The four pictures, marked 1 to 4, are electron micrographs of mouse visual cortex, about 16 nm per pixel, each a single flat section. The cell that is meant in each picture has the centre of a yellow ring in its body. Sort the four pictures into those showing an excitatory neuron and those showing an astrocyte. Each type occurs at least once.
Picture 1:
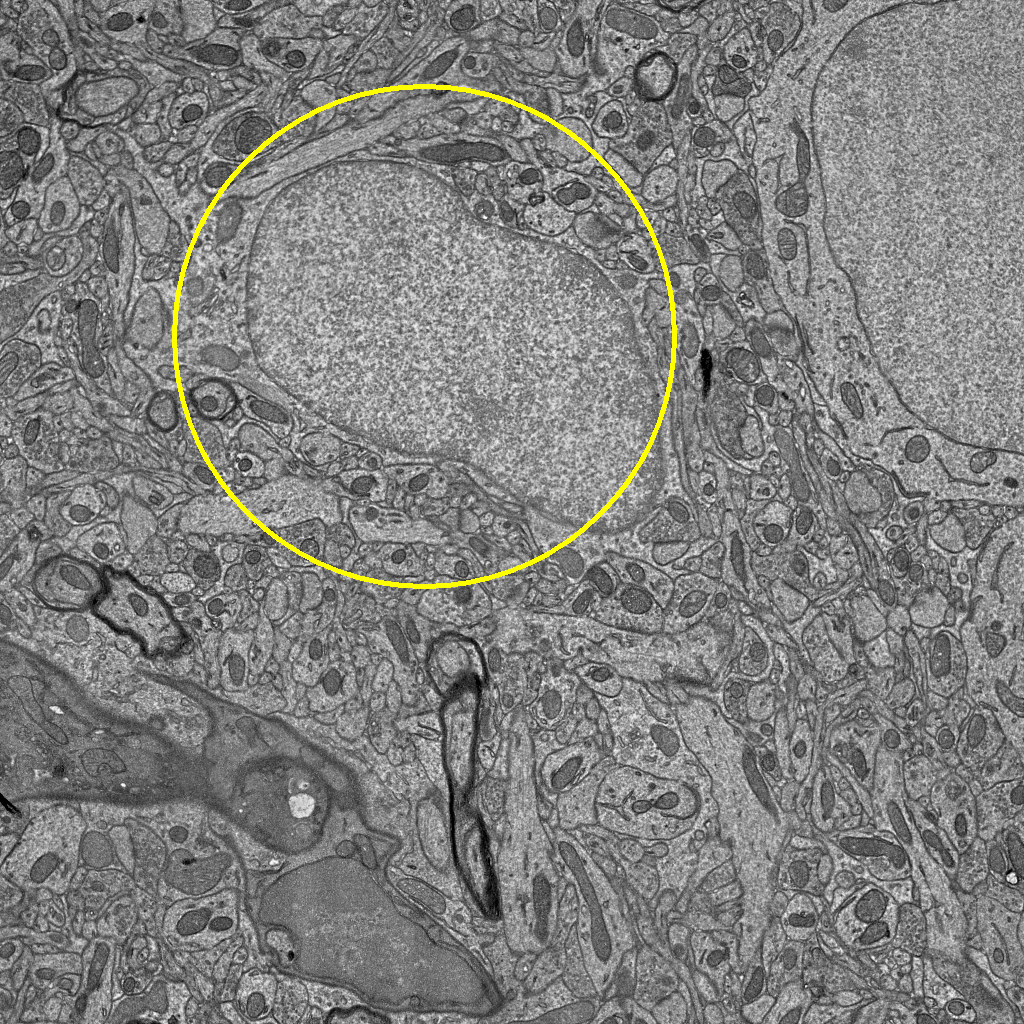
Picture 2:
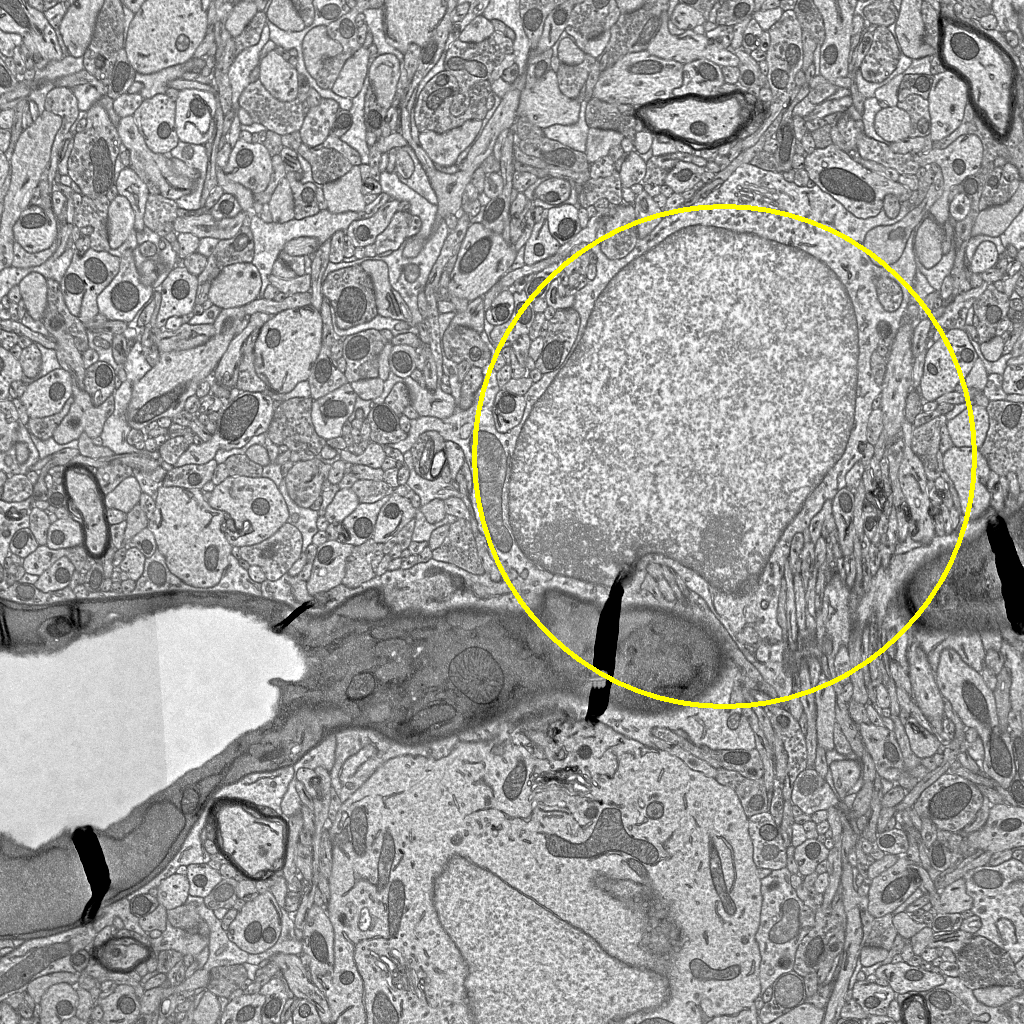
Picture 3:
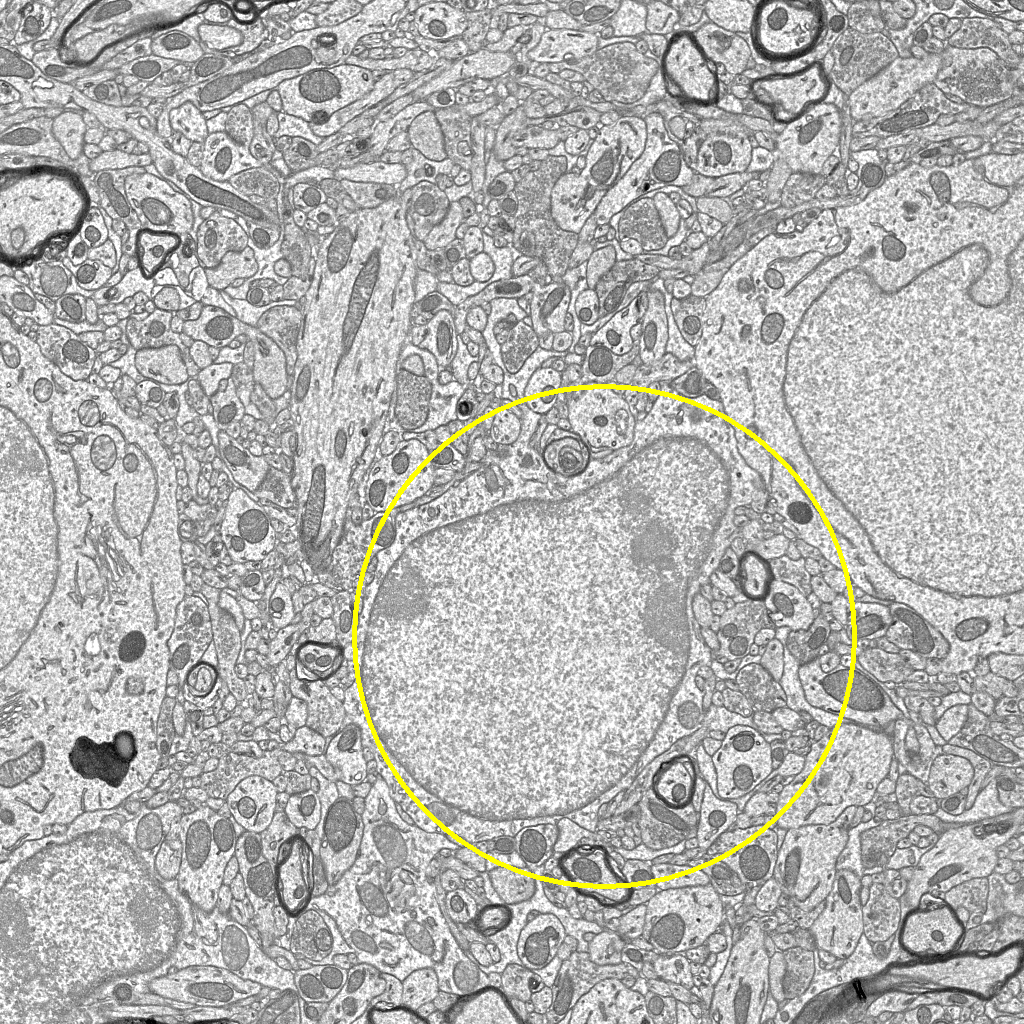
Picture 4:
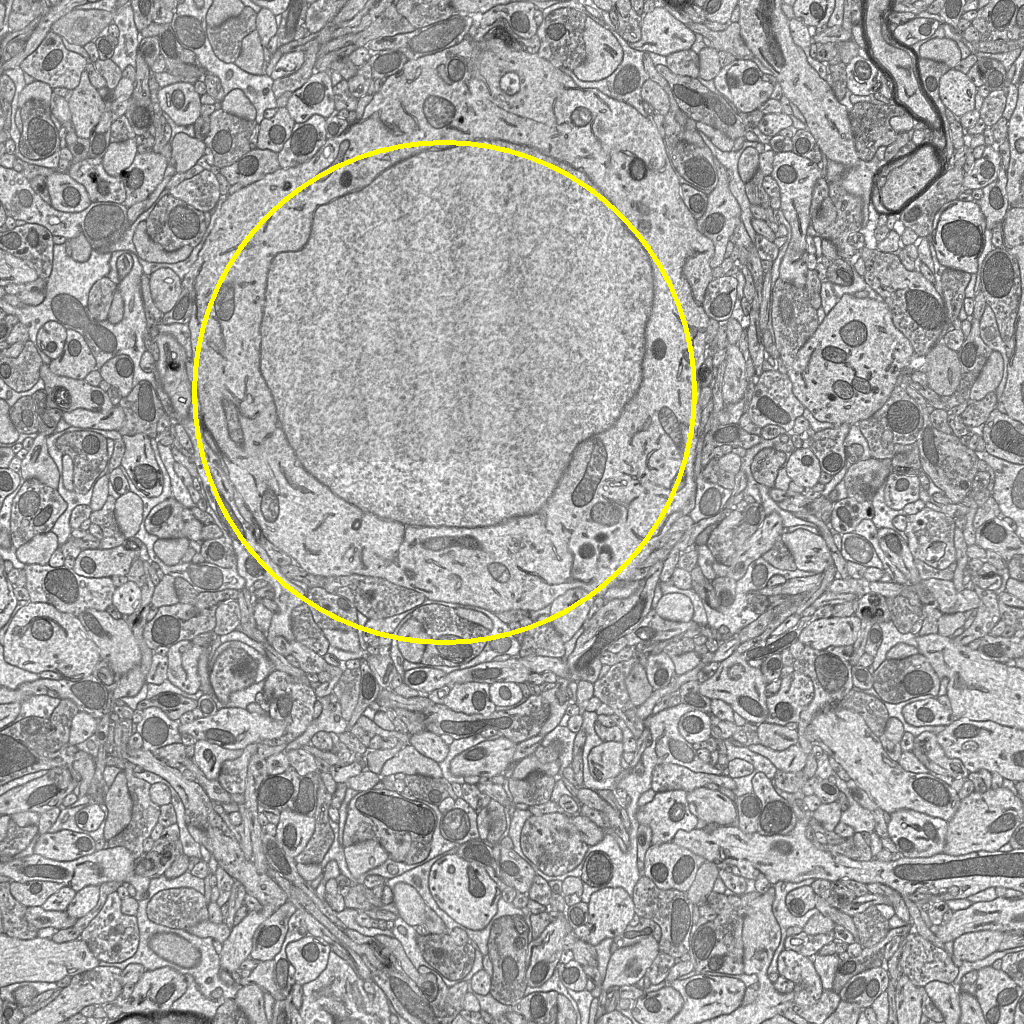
Picture 4 shows an excitatory neuron, and pictures 1, 2 and 3 show astrocytes.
